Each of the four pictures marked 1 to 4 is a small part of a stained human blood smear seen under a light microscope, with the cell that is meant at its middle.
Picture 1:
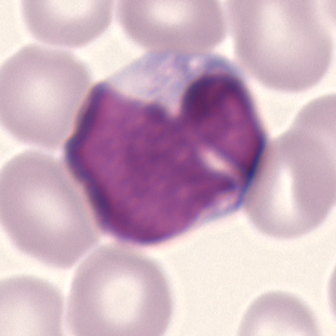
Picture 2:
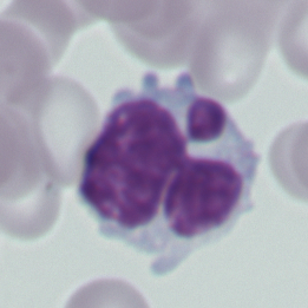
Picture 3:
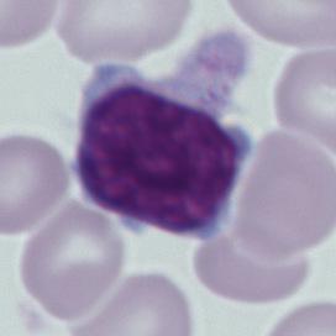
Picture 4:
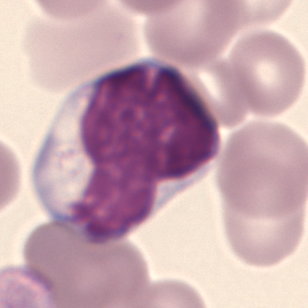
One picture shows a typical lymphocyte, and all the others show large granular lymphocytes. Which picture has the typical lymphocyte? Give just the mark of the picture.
3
